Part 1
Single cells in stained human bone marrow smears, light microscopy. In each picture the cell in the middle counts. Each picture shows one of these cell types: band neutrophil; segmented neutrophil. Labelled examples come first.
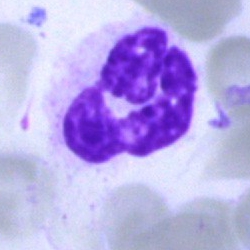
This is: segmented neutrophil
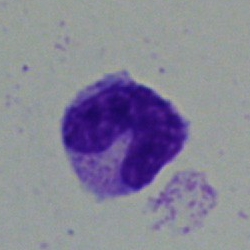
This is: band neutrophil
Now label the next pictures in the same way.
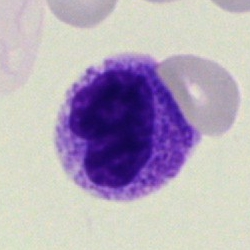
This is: band neutrophil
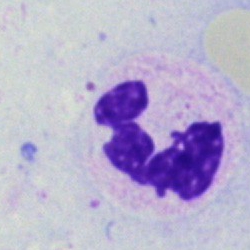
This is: segmented neutrophil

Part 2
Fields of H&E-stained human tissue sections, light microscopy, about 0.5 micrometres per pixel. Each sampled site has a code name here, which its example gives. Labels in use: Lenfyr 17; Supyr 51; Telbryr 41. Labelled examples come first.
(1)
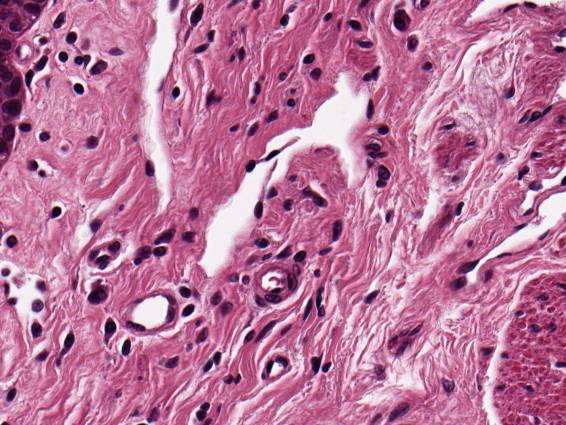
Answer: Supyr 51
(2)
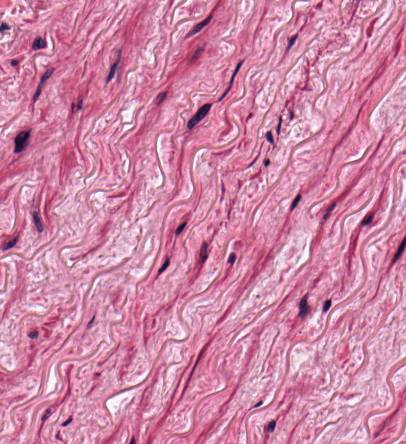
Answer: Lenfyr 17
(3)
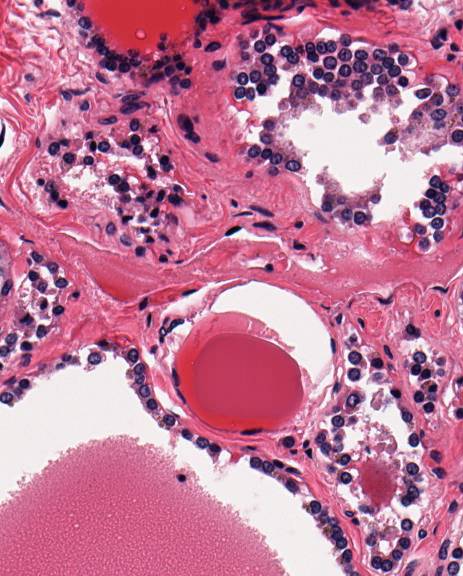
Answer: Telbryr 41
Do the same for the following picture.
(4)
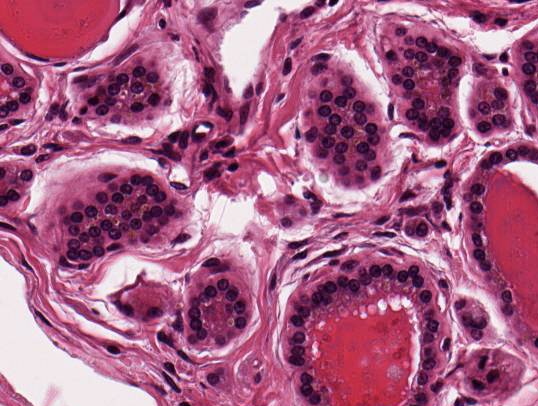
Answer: Telbryr 41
